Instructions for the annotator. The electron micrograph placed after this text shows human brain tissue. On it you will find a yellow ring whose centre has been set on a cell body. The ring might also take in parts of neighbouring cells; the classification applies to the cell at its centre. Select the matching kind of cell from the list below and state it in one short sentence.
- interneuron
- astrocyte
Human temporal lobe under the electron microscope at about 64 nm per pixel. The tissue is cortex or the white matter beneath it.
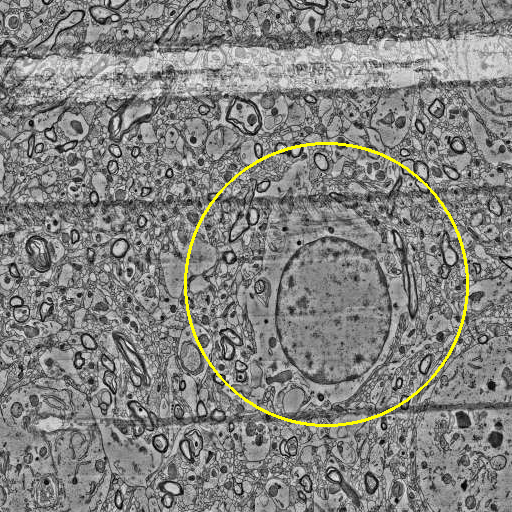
The ring is drawn on the cell body of an astrocyte.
